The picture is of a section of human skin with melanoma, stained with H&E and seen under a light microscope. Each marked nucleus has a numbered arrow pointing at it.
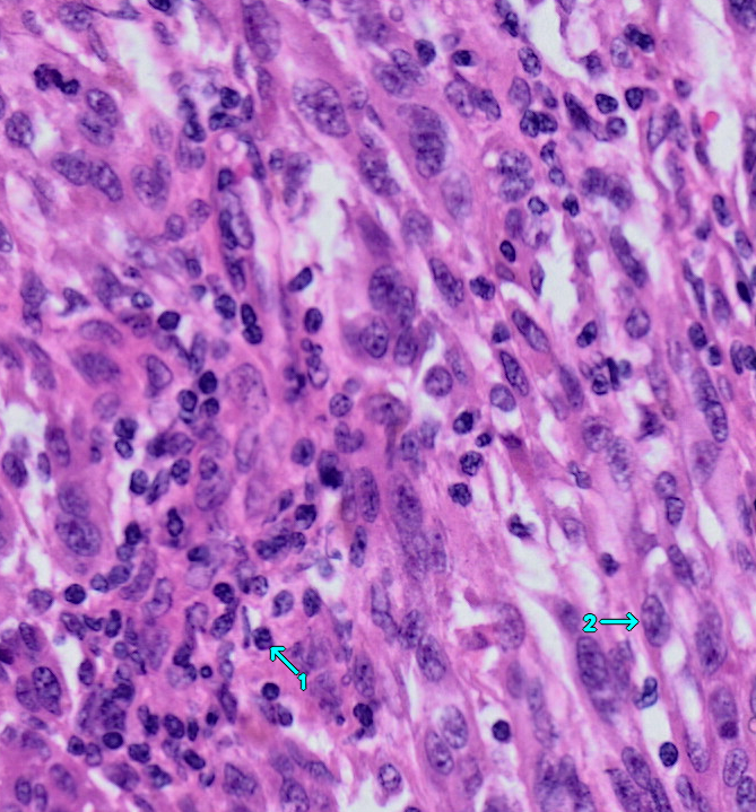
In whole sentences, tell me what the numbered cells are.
Cell 1 is a lymphocyte. Cell 2 is a melanoma cell.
